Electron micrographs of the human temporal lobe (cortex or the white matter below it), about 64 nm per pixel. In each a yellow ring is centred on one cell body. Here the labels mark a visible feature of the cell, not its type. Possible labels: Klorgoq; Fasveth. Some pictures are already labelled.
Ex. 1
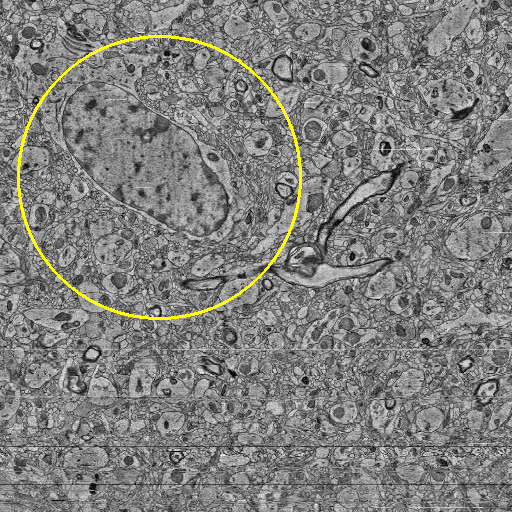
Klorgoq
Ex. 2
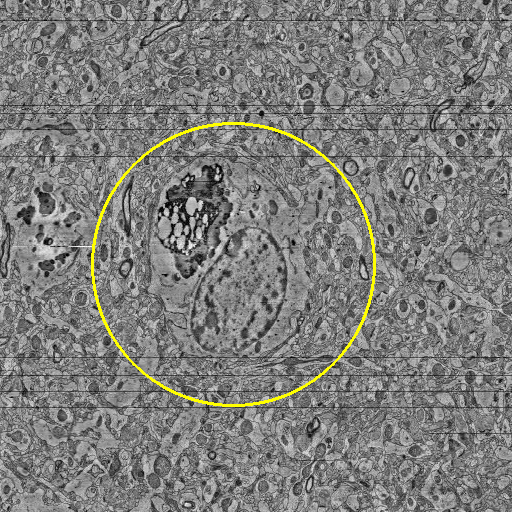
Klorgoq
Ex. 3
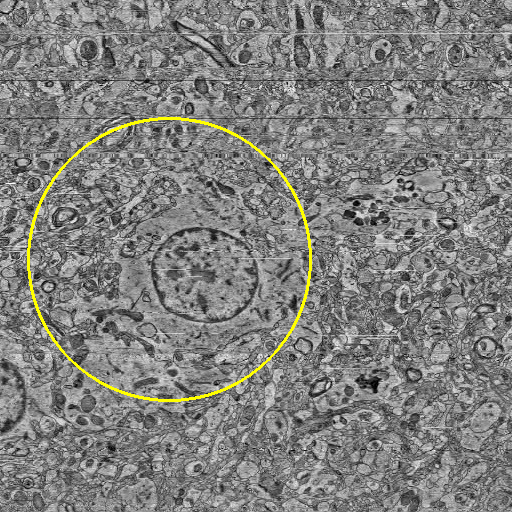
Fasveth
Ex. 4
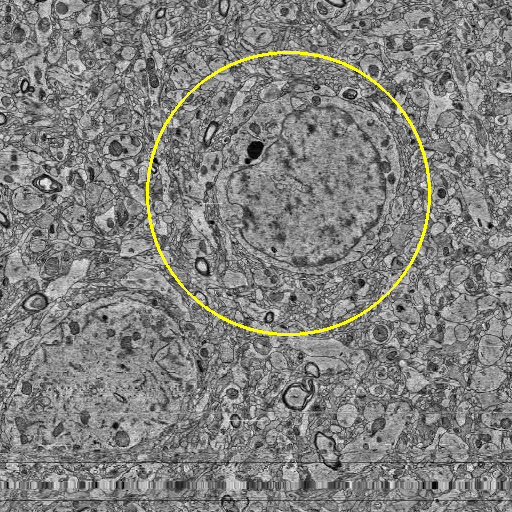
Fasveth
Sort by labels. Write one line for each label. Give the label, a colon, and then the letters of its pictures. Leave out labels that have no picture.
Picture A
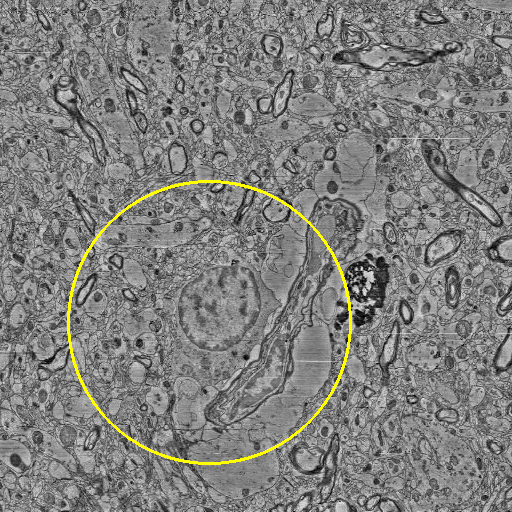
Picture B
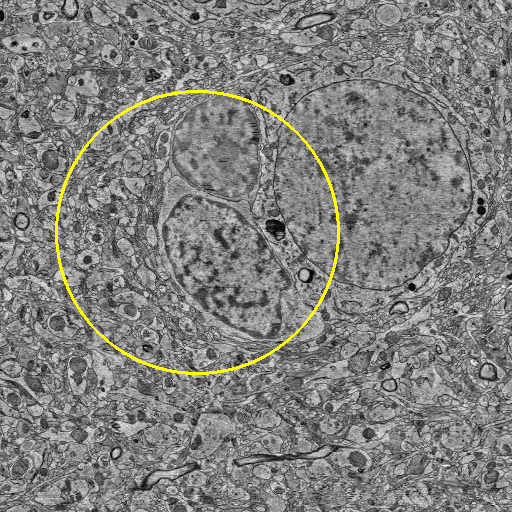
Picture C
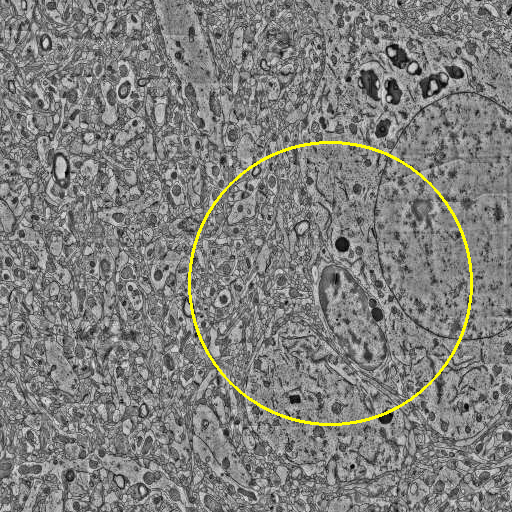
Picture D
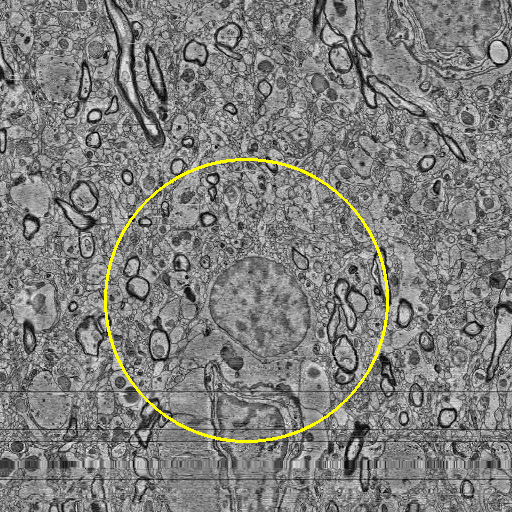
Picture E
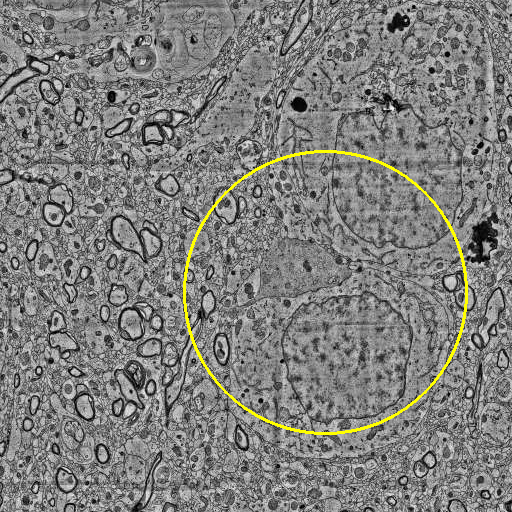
Klorgoq: B, C
Fasveth: A, D, E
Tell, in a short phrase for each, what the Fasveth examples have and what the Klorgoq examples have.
Fasveth: round or nearly round nuclei; Klorgoq: clearly elongated nuclei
